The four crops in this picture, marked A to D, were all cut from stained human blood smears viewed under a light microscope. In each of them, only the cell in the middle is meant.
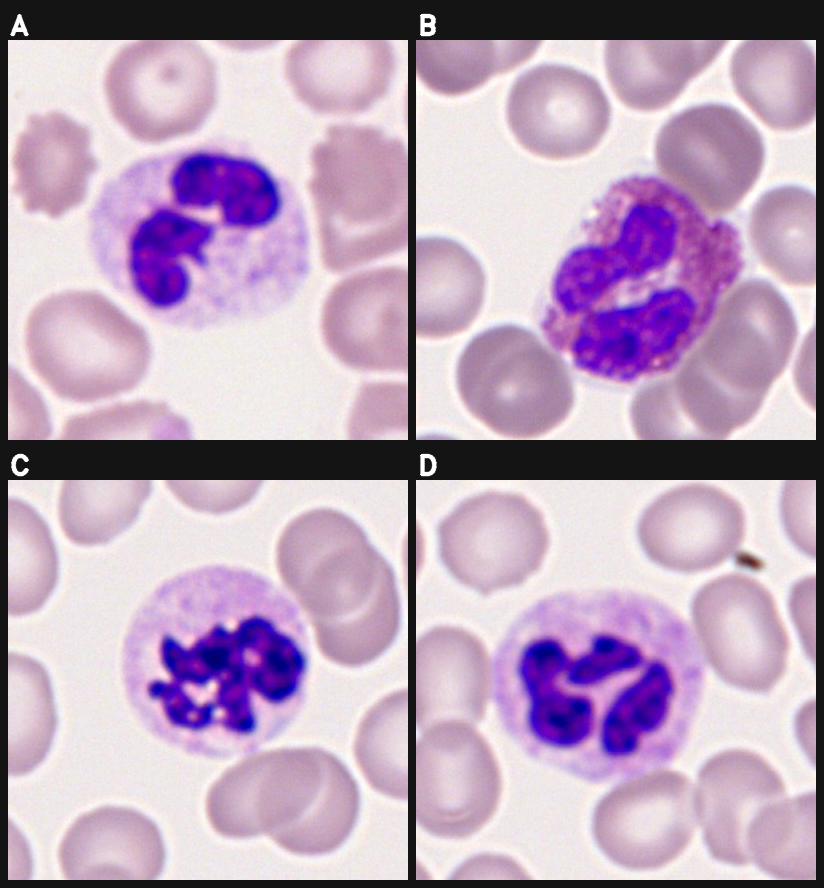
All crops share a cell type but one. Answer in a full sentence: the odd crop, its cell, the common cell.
Of these crops, only crop B is an eosinophil; the others are segmented neutrophils.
